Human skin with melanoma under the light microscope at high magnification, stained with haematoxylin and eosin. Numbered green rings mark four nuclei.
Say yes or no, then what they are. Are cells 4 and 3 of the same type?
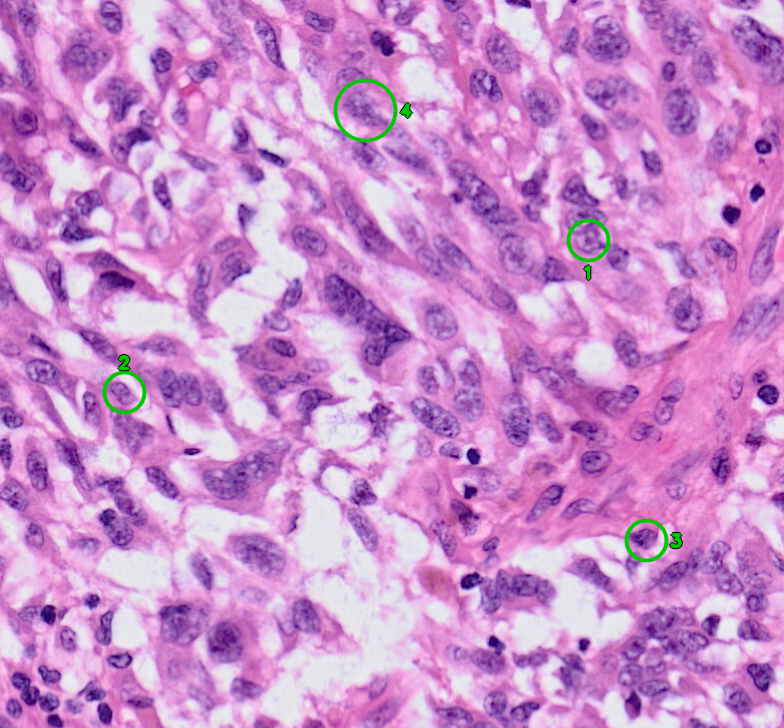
No, cell 4 is a melanoma cell, and cell 3, in contrast, is a macrophage or monocyte.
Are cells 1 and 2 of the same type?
Yes, cells 1 and 2 are both melanoma cells.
